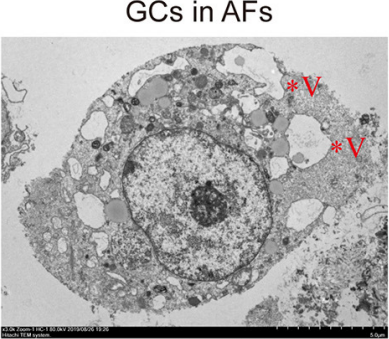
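A rounded granulosa cell is seen by transmission electron microscopy, with a large round nucleus in its middle. The nucleus has a clear envelope and a prominent dark nucleolus amid granular chromatin. The cytoplasm around it is paler and looks disorganised, riddled with many clear, irregular vacuoles of varying size, the largest toward the cell edge. Dense organelles are sparse compared with a well-preserved cell, and the cell border appears ragged in places.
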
